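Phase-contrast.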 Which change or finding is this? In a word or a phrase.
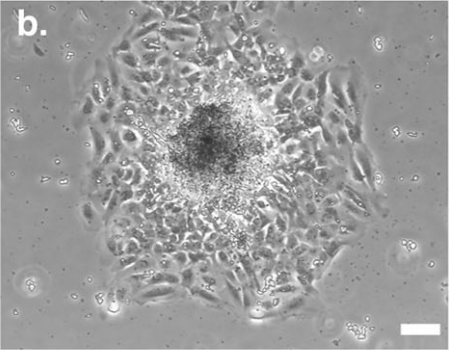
Cells spread-out.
